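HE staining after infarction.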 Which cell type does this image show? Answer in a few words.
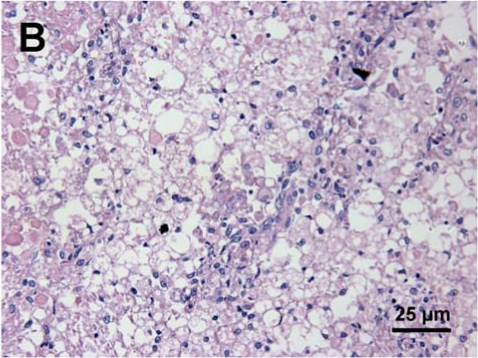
aggregated macrophages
